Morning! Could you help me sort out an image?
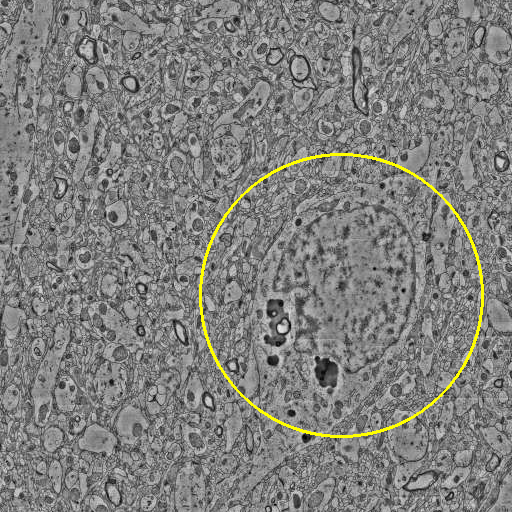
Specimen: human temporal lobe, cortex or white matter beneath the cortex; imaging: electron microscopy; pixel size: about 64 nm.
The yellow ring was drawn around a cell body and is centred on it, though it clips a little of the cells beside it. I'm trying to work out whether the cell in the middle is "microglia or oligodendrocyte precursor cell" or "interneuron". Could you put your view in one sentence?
The ringed cell body is that of an interneuron.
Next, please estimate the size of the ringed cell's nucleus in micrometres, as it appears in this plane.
In this plane the nucleus measures roughly 11 by 9 micrometers.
